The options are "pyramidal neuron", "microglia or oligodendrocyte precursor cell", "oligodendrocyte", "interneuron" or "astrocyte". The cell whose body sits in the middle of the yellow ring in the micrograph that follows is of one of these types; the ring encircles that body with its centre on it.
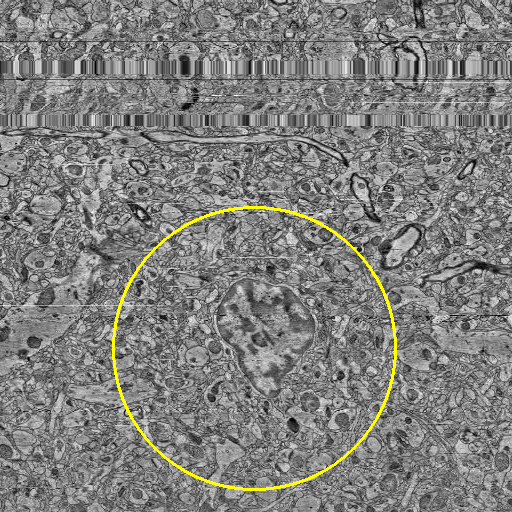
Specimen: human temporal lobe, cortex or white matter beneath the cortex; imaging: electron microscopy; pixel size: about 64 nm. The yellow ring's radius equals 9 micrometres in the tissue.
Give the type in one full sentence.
Going by the micrograph, the cell centred in the yellow ring is a microglial cell or oligodendrocyte precursor cell.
